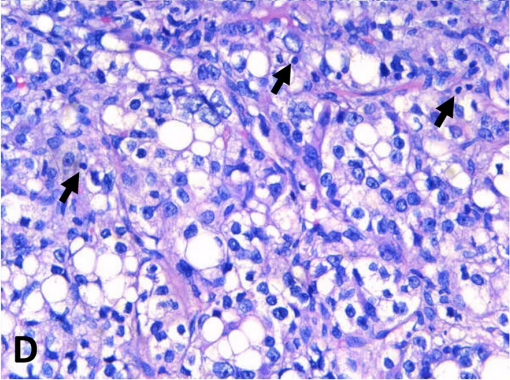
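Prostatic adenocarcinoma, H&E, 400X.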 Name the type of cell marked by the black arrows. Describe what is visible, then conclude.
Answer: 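The arrows point to cells lying among the tumor cells rather than in a separate stroma. The surrounding tumor cells are larger, with pale or vacuolated cytoplasm.
Hence: intratumoral lymphocytes.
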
